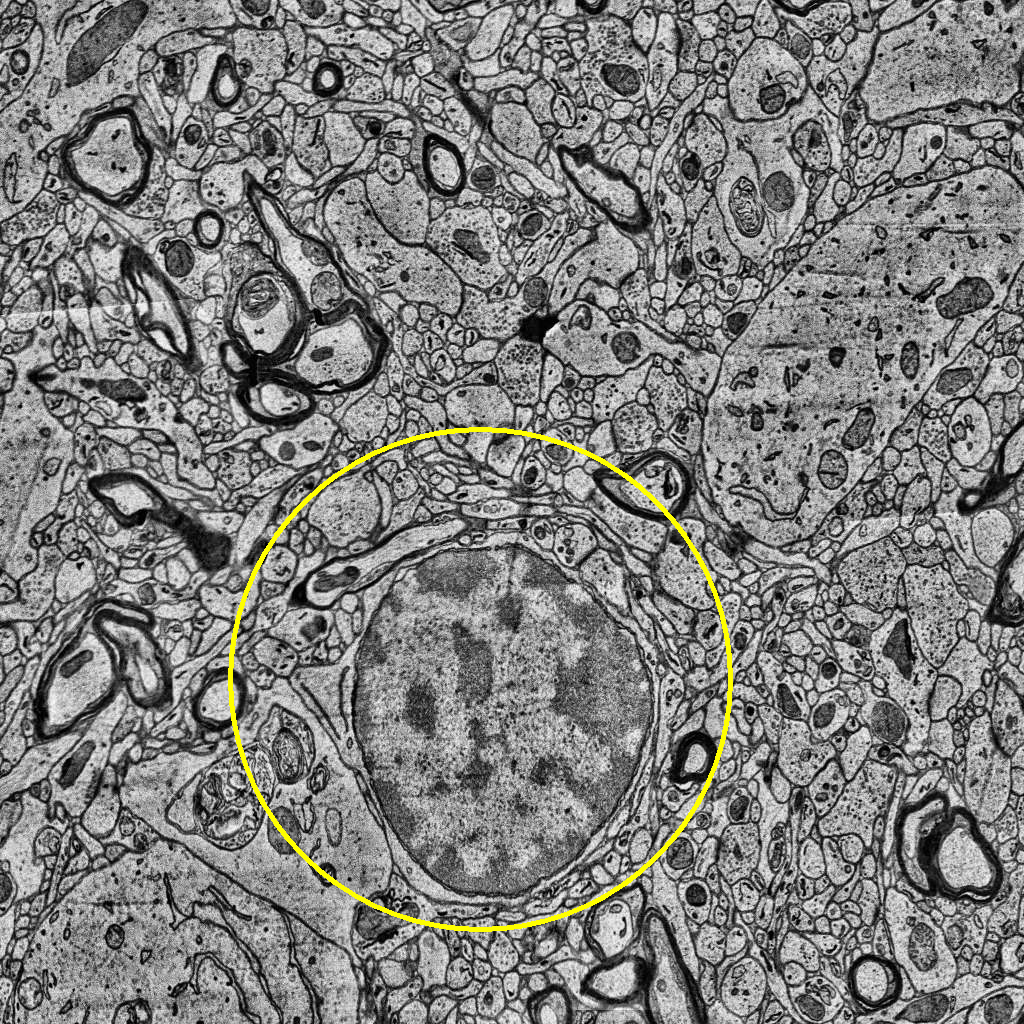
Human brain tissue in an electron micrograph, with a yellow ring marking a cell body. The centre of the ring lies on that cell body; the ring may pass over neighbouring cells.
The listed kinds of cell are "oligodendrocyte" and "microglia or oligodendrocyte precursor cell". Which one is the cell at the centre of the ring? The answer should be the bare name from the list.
microglia or oligodendrocyte precursor cell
